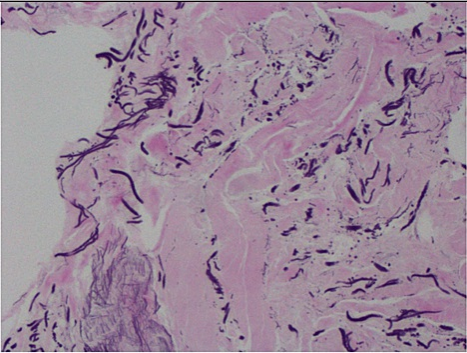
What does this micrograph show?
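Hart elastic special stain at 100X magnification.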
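The fibers appear black to dark purple, thick, short and irregular, many curled, beaded or broken into fragments rather than forming long smooth strands. They are scattered densely through the collagen, and a clear empty space lies at the left edge of the field.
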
